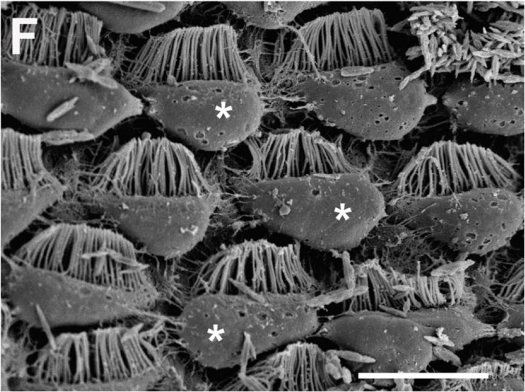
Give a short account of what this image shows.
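Surface of a sensory epithelium with hair cells, each bearing a fan-shaped tuft of long parallel cilia. Below each tuft the apical part of the cell bulges above the surface as a smooth, rounded, somewhat flattened dome. The domes carry scattered small pits on their surface. The cells repeat in regular staggered rows, tufts all oriented the same way. Fine debris and short rod-like fragments lie on the surface between cells.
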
